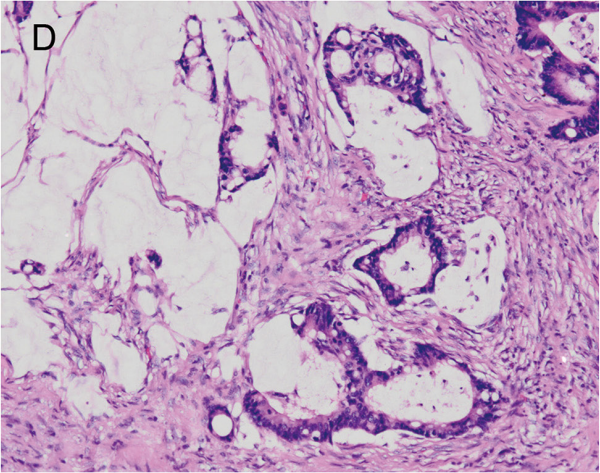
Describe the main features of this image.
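Carcinoma glands float within large pools of pale, lightly stained mucin, separated by bands of pink fibrous stroma with spindle-shaped cells. The glands are rounded or irregular with smooth luminal borders and lack sawtooth infoldings. They are lined by a single layer of cells with dark, crowded, hyperchromatic nuclei. The cytoplasm of the lining cells is scant and less pink. Small detached clusters of tumour cells lie within the mucin.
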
